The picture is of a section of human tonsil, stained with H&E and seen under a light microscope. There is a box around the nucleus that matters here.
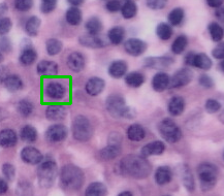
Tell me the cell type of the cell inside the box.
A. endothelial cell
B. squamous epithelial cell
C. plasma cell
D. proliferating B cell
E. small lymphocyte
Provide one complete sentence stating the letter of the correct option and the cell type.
On this slide, the cell inside the box is a plasma cell, so option C is right.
